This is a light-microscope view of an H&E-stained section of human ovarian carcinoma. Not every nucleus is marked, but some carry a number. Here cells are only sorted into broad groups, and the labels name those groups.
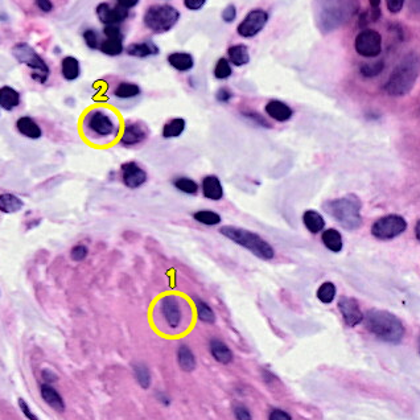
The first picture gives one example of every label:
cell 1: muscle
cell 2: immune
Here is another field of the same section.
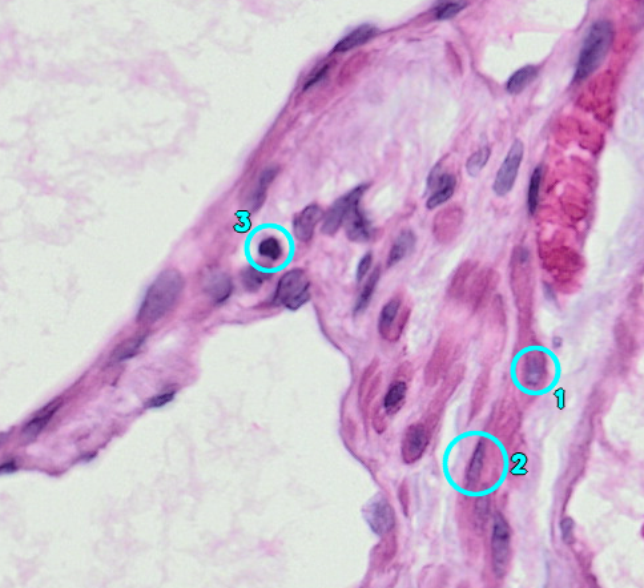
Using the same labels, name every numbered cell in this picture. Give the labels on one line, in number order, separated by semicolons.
muscle; muscle; immune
